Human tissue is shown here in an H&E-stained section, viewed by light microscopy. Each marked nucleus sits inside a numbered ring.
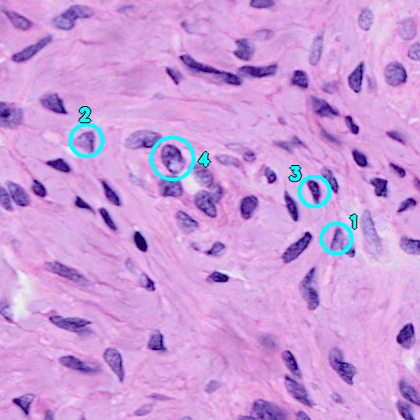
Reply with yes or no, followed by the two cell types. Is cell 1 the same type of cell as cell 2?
Yes, in the case of cells 1 and 2, both are fibroblasts.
